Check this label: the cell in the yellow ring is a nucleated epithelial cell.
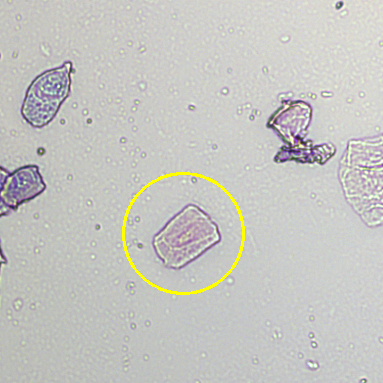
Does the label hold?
The label does not hold; the cell is a cornified epithelial cell.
